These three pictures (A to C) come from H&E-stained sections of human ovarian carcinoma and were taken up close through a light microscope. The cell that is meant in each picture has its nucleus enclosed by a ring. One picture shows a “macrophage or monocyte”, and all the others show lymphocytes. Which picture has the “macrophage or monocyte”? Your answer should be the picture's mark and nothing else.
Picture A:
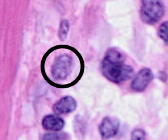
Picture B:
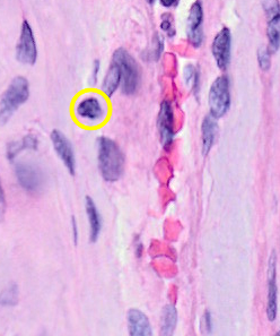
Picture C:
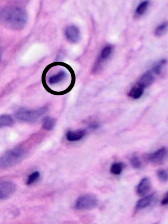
A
